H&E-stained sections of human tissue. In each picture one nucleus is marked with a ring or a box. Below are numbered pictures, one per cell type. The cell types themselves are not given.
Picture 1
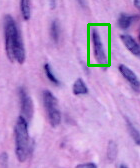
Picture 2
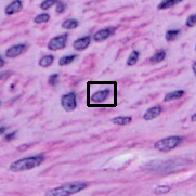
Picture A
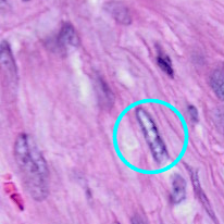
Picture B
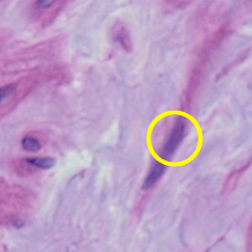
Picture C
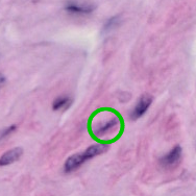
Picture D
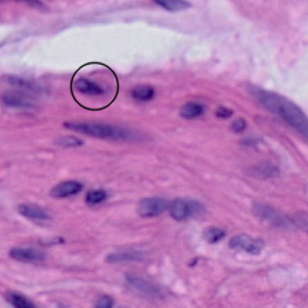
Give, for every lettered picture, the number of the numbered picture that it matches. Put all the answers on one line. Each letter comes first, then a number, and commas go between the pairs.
A 1, B 2, C 2, D 2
